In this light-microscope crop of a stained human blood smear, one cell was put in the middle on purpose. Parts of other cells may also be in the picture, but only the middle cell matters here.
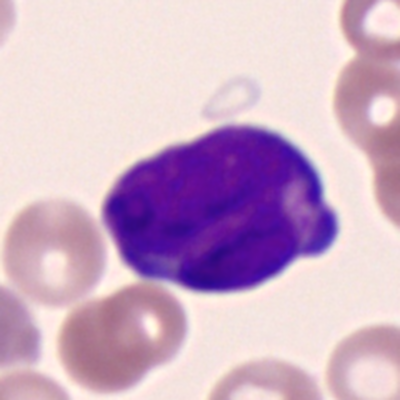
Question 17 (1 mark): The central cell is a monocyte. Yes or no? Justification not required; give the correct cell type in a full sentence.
No, the centred cell is a myeloblast, and it is not a monocyte.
